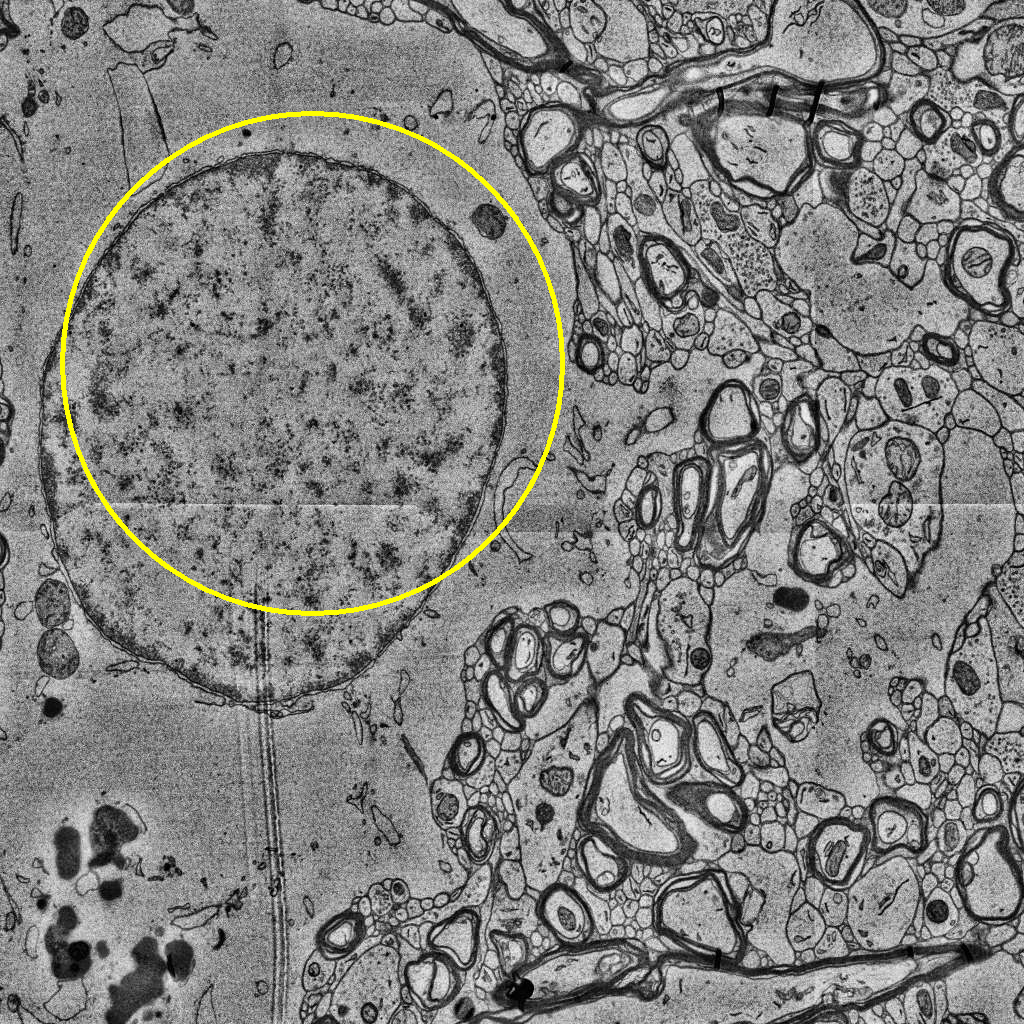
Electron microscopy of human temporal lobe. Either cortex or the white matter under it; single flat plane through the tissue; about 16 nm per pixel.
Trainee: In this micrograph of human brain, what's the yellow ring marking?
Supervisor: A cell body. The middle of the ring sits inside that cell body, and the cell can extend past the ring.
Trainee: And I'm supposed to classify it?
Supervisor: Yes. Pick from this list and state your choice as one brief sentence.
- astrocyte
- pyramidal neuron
The cell at the ring's center is an astrocyte.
